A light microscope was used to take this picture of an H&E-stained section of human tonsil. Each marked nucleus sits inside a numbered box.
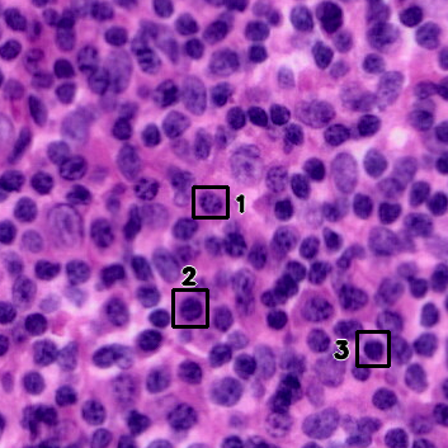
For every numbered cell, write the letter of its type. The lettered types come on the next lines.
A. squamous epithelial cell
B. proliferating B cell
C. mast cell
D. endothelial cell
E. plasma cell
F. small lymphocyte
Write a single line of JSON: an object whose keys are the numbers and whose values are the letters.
{"1": "E", "2": "E", "3": "F"}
